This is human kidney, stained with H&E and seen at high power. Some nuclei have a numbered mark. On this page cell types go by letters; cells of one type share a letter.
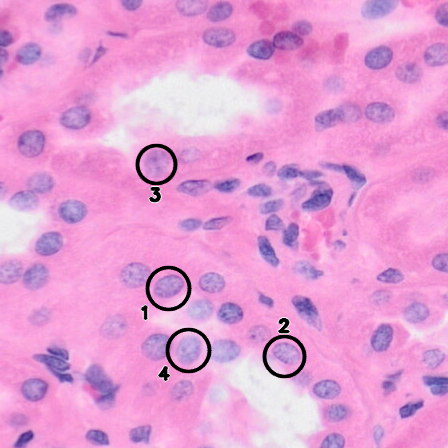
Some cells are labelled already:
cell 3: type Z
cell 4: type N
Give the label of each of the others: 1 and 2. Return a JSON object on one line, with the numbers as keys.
{"1": "type N", "2": "type N"}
